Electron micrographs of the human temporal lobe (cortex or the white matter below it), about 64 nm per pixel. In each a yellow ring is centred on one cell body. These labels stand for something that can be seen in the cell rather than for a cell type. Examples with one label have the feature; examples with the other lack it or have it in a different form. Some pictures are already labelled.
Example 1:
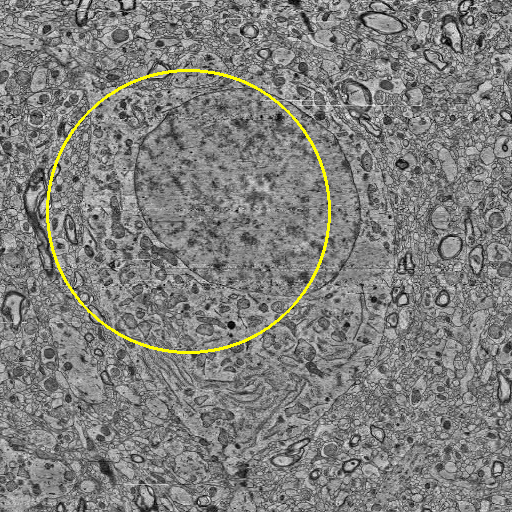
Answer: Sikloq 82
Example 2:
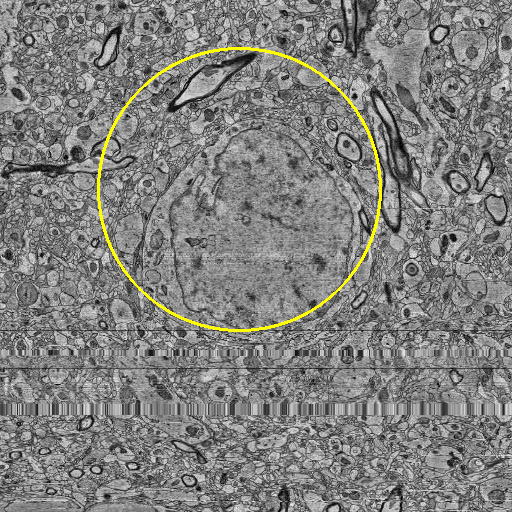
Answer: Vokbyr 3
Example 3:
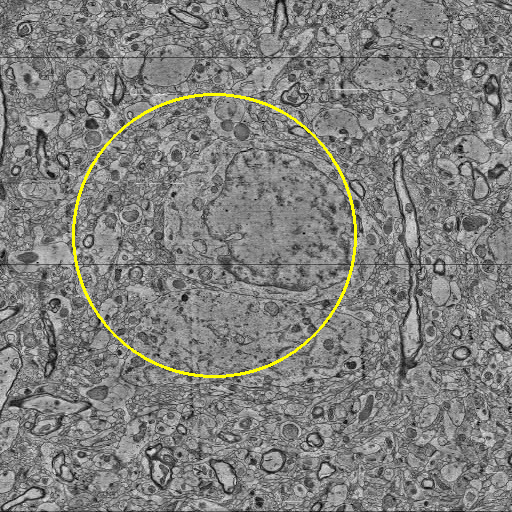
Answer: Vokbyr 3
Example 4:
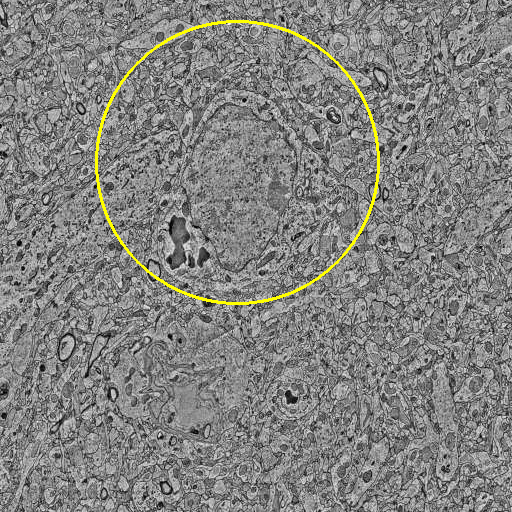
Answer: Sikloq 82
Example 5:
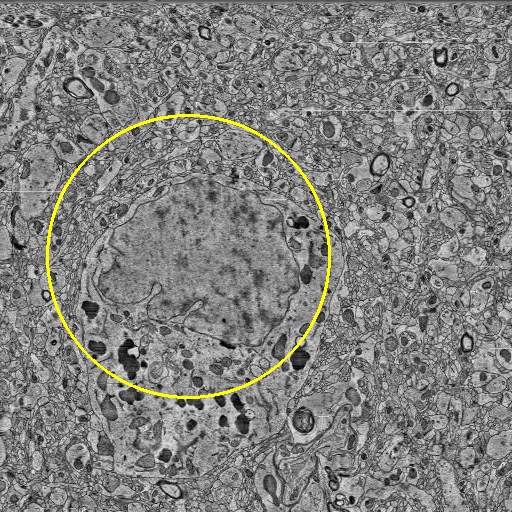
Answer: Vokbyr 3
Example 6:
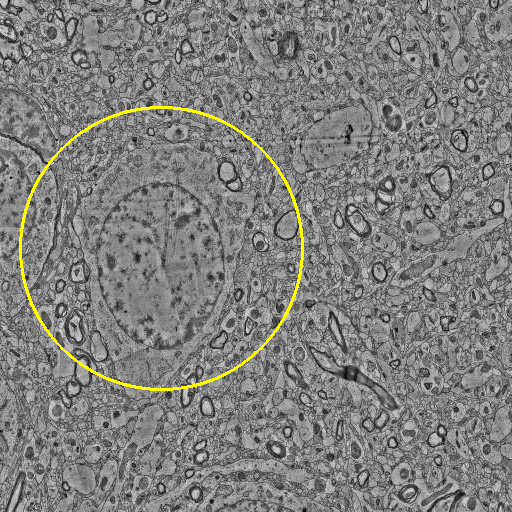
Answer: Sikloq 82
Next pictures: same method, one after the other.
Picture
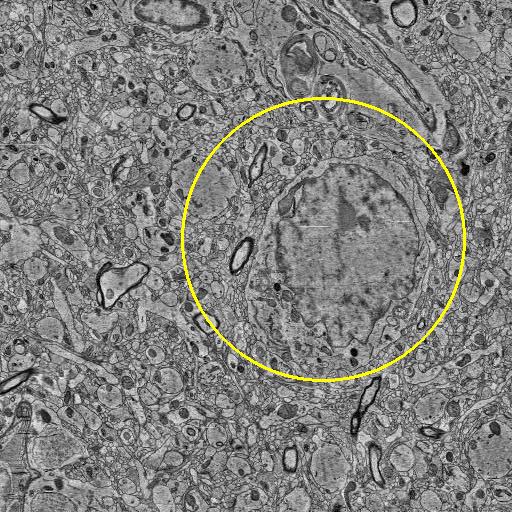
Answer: Vokbyr 3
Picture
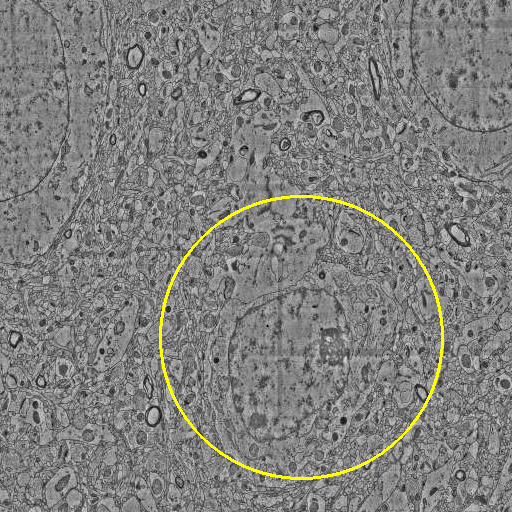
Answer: Sikloq 82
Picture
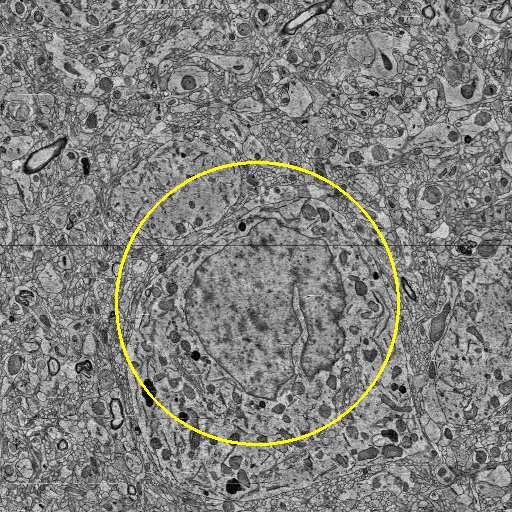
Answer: Vokbyr 3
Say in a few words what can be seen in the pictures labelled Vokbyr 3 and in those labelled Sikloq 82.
Vokbyr 3: deeply folded or indented nuclear envelopes; Sikloq 82: smooth nuclear envelopes without deep folds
